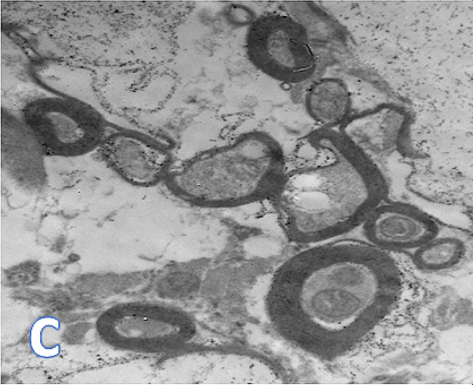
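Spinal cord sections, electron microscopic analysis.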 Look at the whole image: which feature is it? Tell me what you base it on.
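Myelin sheath. Many round to oval profiles each have a dark compact ring around a paler granular core.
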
